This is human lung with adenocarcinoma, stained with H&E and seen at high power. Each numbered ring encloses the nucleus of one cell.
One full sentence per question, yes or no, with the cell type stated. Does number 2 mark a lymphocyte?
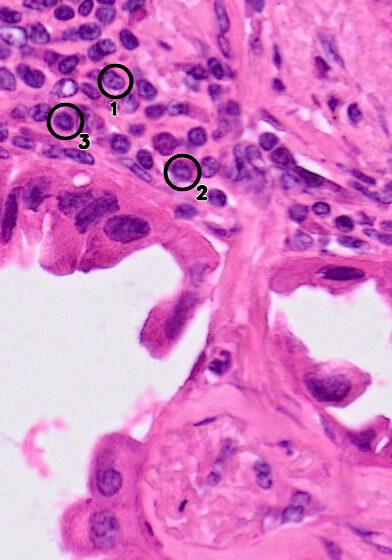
No, that is wrong: cell 2 is a plasma cell, and not a lymphocyte.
